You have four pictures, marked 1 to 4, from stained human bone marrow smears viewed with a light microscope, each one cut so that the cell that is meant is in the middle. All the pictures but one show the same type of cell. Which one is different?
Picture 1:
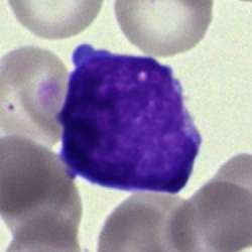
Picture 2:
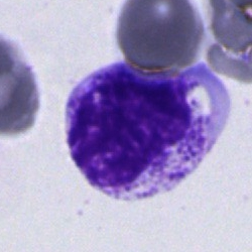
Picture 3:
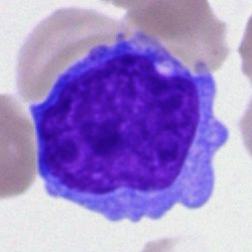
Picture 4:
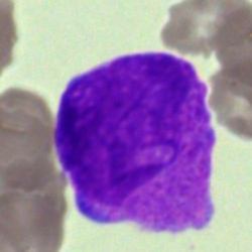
2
